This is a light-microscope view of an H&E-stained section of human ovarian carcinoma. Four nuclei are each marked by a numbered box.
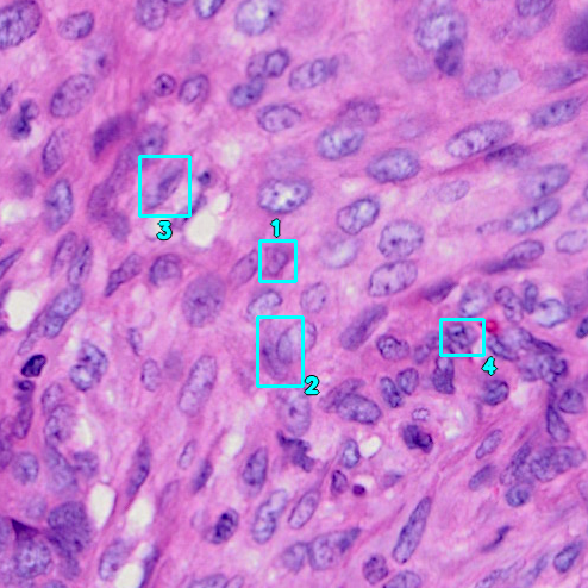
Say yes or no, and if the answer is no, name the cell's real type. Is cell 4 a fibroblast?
No, it is an endothelial cell.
